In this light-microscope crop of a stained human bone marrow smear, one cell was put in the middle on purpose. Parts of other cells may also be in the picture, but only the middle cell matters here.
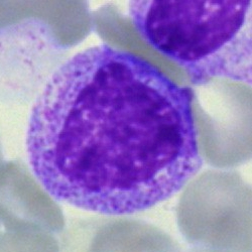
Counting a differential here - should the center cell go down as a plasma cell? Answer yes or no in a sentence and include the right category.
No, the centrally located cell is a myelocyte rather than a plasma cell.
